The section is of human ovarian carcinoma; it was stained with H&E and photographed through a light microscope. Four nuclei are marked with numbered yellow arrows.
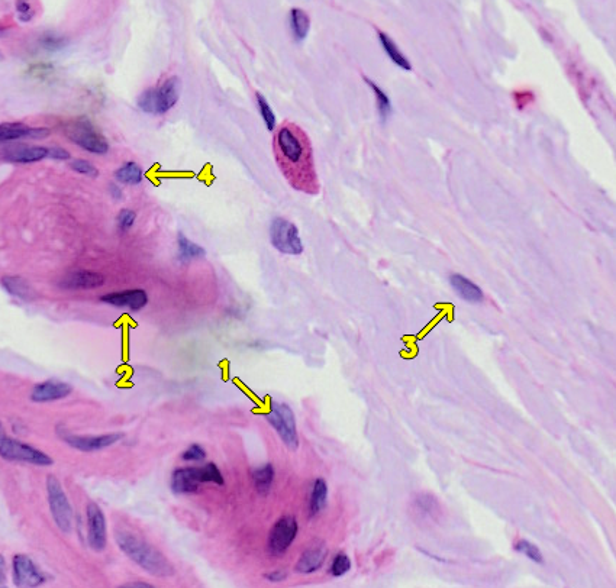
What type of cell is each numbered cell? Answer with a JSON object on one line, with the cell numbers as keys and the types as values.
{"1": "smooth muscle cell", "2": "smooth muscle cell", "3": "fibroblast", "4": "smooth muscle cell"}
